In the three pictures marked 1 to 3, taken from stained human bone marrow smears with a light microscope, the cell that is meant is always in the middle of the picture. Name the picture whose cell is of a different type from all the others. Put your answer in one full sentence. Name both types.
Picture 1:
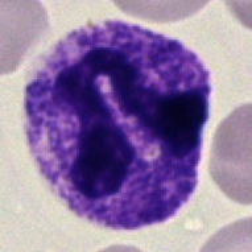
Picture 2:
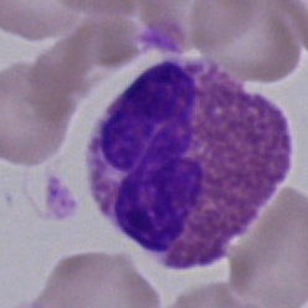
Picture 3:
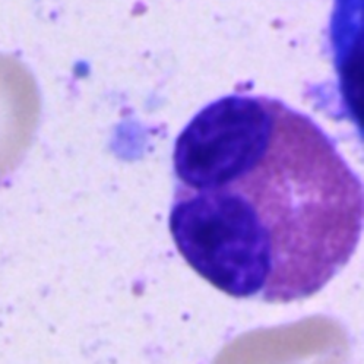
Picture 1 is the odd one out: it shows a segmented neutrophil, while the others show eosinophils.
